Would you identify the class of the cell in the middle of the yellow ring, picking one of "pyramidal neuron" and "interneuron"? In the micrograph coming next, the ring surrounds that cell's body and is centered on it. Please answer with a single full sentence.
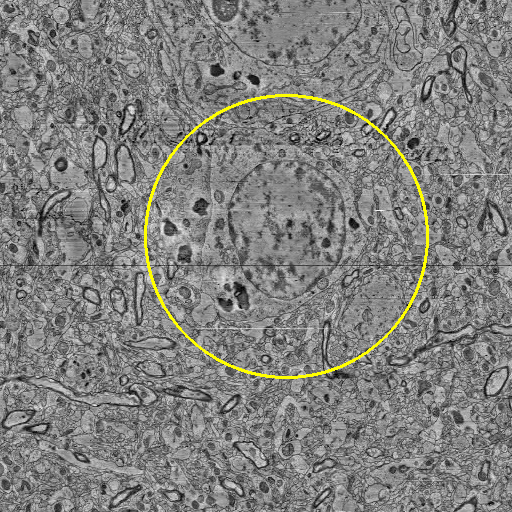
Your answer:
In the micrograph, it is an interneuron whose body lies at the ring's center.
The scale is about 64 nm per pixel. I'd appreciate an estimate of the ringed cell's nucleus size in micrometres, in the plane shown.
In this plane the nucleus measures roughly 9 by 7 micrometers.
